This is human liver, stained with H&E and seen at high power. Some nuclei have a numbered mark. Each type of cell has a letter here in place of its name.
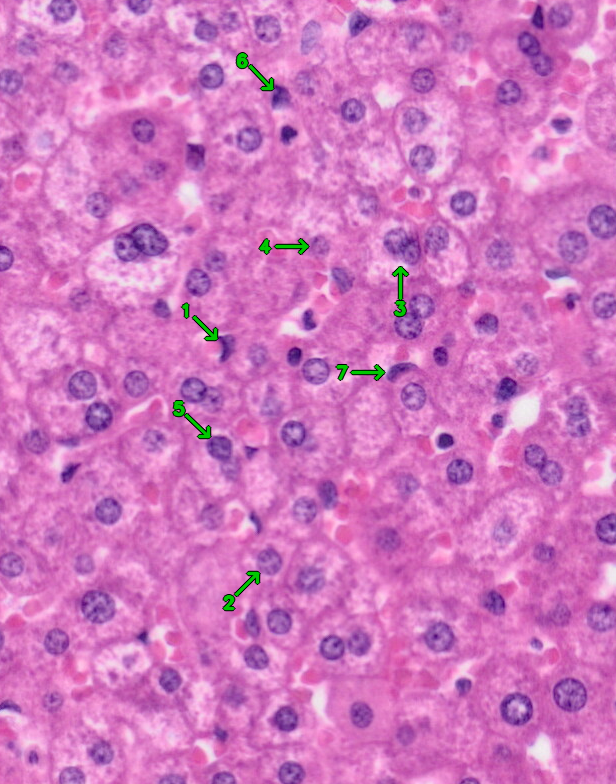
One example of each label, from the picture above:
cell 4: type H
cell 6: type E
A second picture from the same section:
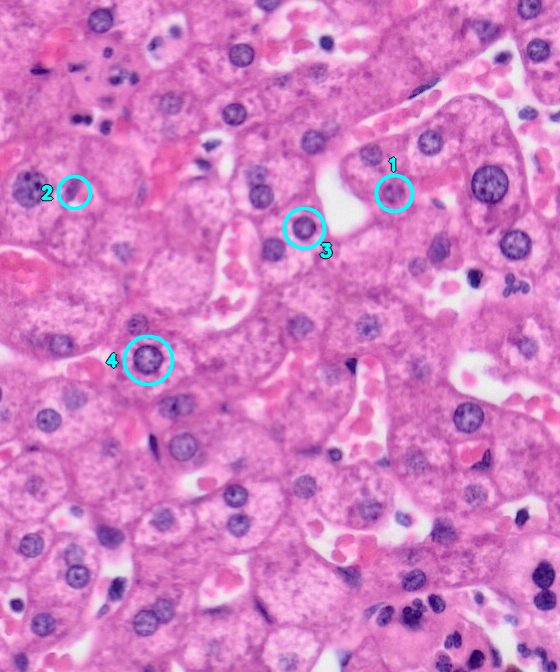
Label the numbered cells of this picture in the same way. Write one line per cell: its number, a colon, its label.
1: type H
2: type E
3: type H
4: type H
